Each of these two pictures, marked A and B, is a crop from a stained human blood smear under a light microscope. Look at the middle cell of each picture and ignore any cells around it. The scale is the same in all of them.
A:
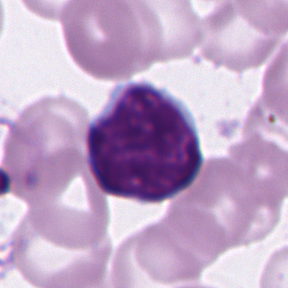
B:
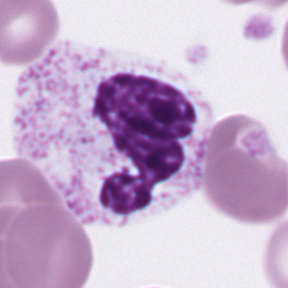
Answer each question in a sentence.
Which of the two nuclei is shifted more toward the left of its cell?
Seen within its cell, the nucleus in picture A lies further toward the left.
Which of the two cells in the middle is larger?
The cell in picture B is larger, with about 2 times the area of the one in picture A.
